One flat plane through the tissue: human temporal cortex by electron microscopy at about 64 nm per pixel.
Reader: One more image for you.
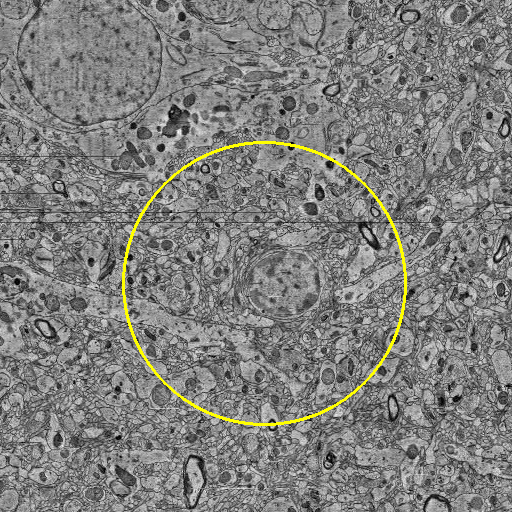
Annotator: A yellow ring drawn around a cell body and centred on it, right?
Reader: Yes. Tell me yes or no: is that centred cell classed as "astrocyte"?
no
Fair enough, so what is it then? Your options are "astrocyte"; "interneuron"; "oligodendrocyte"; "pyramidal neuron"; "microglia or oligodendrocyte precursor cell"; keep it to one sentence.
As it turns out, the cell at the ring centre is a microglial cell or oligodendrocyte precursor cell.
